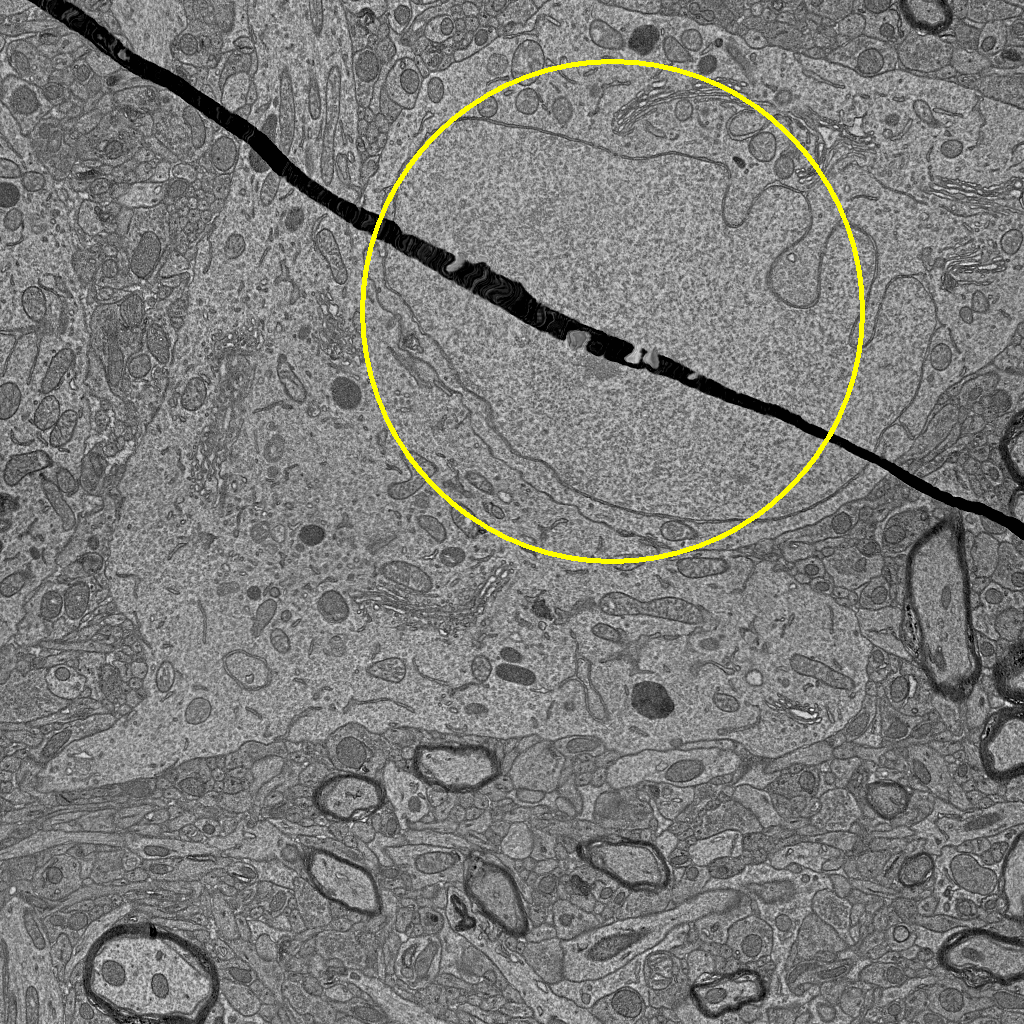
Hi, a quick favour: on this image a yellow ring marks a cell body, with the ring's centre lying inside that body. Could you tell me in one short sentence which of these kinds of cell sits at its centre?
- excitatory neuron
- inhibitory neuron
The ring's centre lies in an inhibitory neuron.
